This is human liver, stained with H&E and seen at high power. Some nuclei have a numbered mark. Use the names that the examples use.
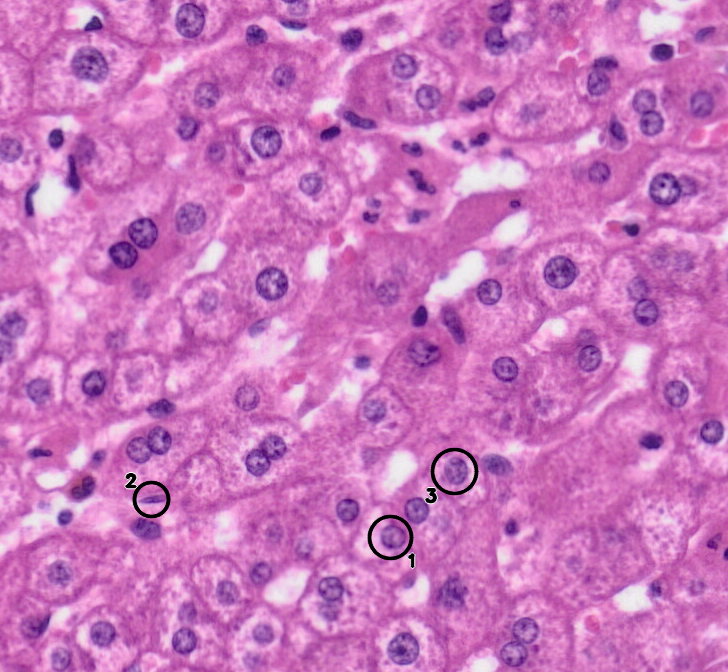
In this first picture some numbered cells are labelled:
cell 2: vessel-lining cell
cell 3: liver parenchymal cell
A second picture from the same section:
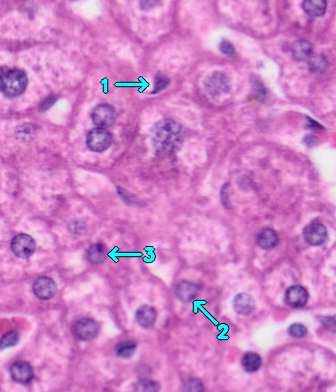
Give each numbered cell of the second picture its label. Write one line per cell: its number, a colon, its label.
1: vessel-lining cell
2: liver parenchymal cell
3: liver parenchymal cell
